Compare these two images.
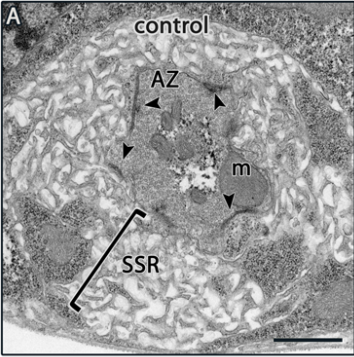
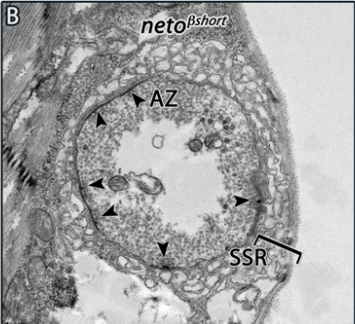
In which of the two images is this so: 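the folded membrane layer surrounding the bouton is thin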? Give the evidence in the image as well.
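Second image: only a narrow band of few membrane folds surrounds the large bouton. First image: a broad, thick band of convoluted membrane folds surrounds the bouton.
Conclusion: the second image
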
